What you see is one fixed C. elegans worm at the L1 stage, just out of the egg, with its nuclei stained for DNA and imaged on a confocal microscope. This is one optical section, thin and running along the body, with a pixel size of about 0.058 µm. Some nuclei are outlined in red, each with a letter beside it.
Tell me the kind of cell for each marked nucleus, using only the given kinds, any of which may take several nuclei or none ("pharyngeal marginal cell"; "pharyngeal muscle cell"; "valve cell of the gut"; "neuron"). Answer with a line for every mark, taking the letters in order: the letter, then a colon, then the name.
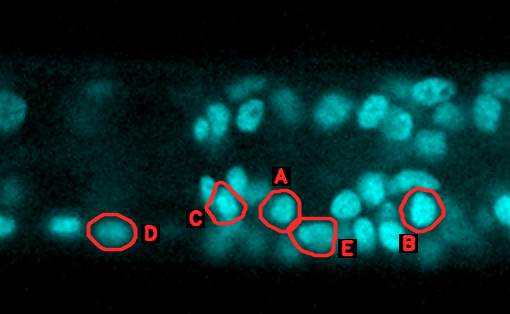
A: pharyngeal marginal cell
B: neuron
C: valve cell of the gut
D: neuron
E: neuron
